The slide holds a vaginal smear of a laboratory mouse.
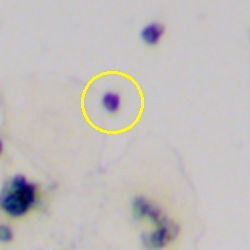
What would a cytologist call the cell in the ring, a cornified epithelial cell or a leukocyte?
A cytologist would call it a leukocyte.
